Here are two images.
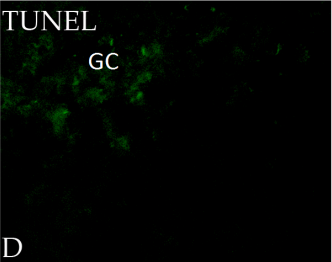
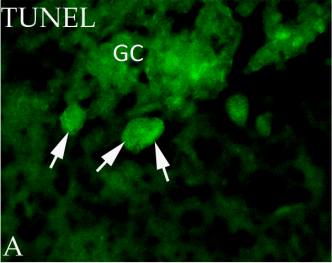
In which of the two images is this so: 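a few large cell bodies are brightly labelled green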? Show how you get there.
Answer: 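First image: almost black, with only faint speckles of green and no labelled cell bodies. Second image: several large rounded cell bodies stand out in bright green. On this evidence: the second image.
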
